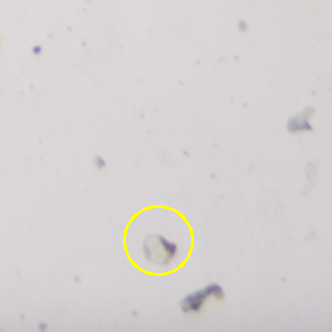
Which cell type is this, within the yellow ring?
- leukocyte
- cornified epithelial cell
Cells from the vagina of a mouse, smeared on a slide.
Within the ring is a cornified epithelial cell.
